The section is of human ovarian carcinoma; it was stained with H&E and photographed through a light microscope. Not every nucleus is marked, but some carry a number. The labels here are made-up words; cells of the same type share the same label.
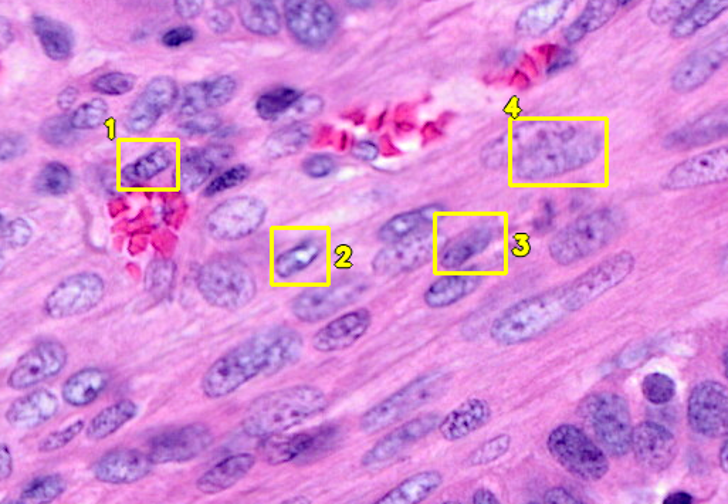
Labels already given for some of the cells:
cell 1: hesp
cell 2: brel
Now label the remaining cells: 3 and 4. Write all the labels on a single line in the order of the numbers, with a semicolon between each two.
hesp; brel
